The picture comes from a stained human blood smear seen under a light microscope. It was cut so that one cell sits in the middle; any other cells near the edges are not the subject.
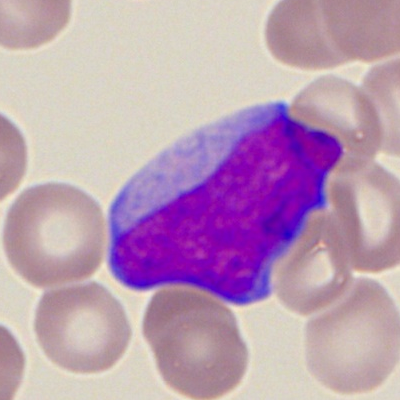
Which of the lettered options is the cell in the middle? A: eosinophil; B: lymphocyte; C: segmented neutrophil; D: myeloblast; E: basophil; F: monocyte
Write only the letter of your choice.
D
